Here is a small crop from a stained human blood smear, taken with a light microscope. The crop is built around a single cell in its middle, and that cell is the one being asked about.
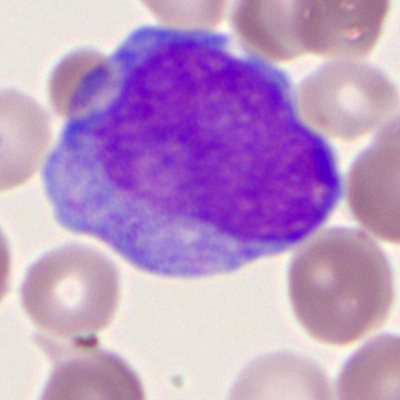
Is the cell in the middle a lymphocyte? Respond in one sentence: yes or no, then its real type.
No, the cell in the middle is not a lymphocyte but a myeloblast.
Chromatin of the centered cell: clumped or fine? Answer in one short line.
There is no coarse clumping; the chromatin stays fine throughout.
